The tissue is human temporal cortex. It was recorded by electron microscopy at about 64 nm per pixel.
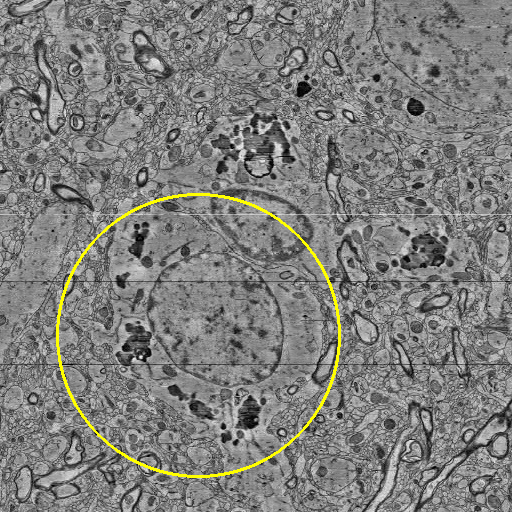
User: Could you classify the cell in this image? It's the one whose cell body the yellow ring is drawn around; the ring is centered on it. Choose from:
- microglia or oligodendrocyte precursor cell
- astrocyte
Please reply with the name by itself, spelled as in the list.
astrocyte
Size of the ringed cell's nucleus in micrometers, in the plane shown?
In this plane, about 10 micrometres in length and 8 in width.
